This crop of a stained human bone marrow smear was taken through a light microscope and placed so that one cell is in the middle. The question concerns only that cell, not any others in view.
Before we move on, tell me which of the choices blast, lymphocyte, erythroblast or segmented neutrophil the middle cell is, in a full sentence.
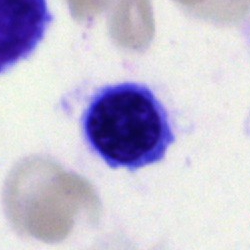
The cell in the middle of this crop is an erythroblast.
